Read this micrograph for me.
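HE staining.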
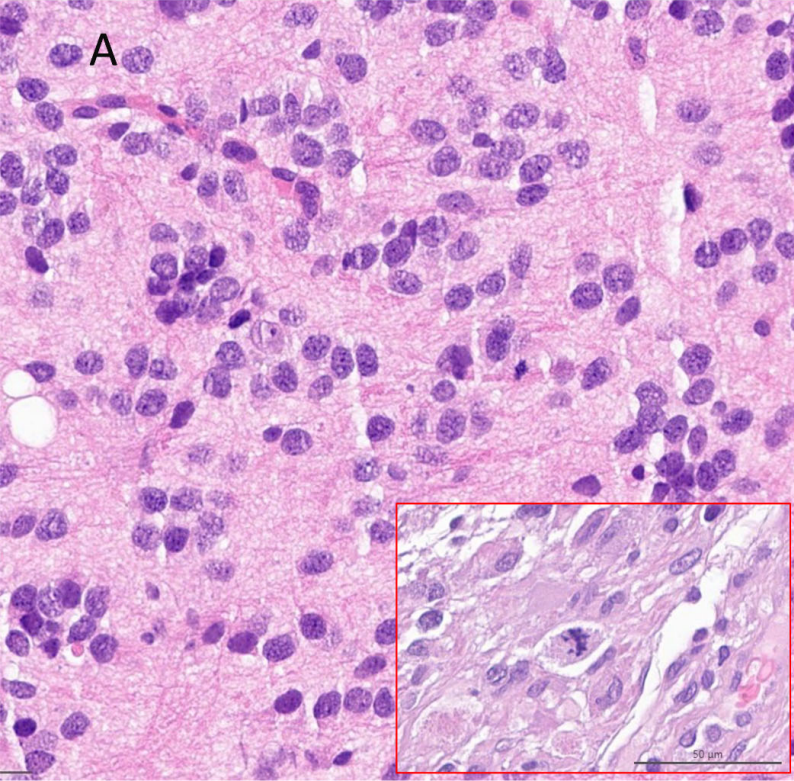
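This is a diffusely infiltrating tumor made of small, rather uniform cells scattered through a pink, finely fibrillary background. Their nuclei are mostly round to slightly oval, dark purple and somewhat coarse in their chromatin, and they are a little larger than one would expect of resting glial cells. The cells lie singly or in loose small clusters, with little visible cytoplasm around the nuclei. In the framed inset at the lower right, one cell shows clumped, dark chromosome material in a clear halo, a mitotic figure.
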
